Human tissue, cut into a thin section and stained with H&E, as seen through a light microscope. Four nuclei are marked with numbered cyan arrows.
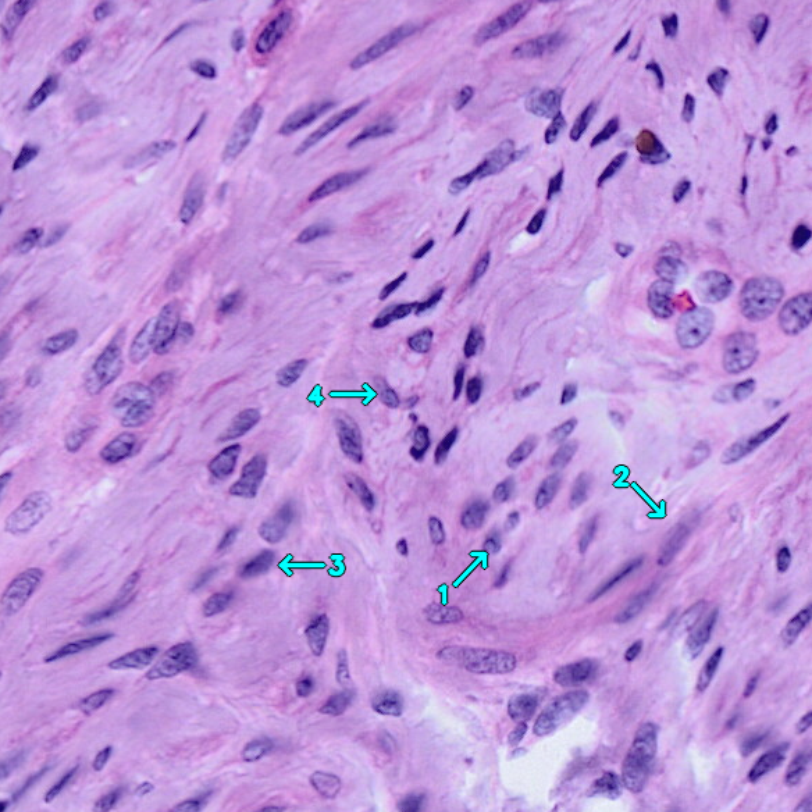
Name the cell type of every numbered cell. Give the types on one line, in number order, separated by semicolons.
smooth muscle cell; smooth muscle cell; fibroblast; smooth muscle cell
